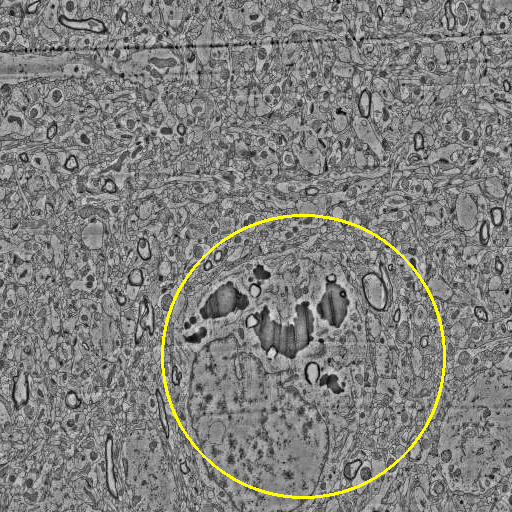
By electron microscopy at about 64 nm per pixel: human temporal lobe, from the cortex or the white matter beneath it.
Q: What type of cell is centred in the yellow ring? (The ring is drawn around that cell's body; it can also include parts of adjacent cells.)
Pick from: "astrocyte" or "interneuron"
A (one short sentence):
The yellow ring is centred on an interneuron.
